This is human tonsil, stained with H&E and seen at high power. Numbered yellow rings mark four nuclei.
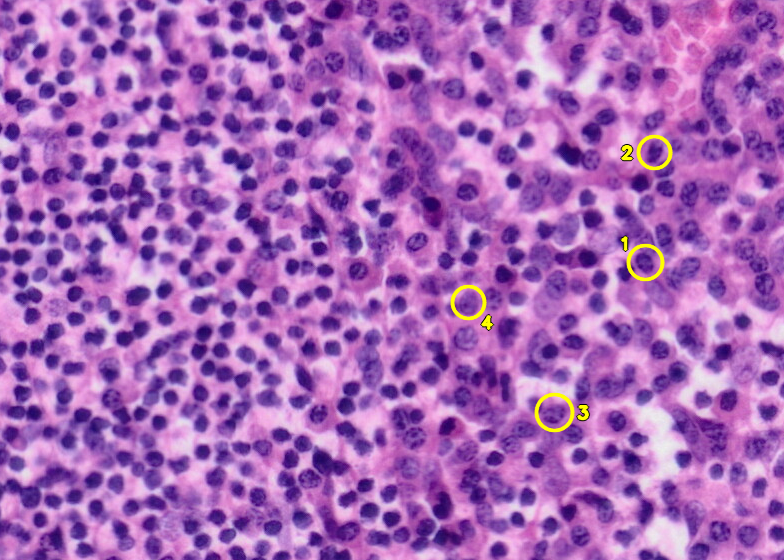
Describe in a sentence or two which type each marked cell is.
Cells 1, 2 and 3 are plasma cells. Cell 4 is a squamous epithelial cell.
